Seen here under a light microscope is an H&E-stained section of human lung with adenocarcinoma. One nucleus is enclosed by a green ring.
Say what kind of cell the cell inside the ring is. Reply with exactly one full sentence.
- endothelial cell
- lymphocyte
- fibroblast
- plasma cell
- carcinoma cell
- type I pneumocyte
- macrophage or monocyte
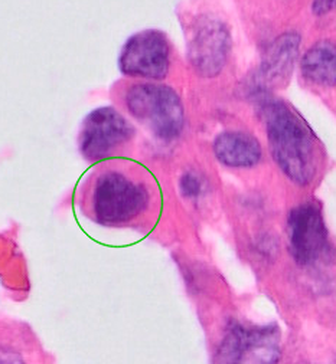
Right, so the cell inside the ring is a carcinoma cell, to answer that.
